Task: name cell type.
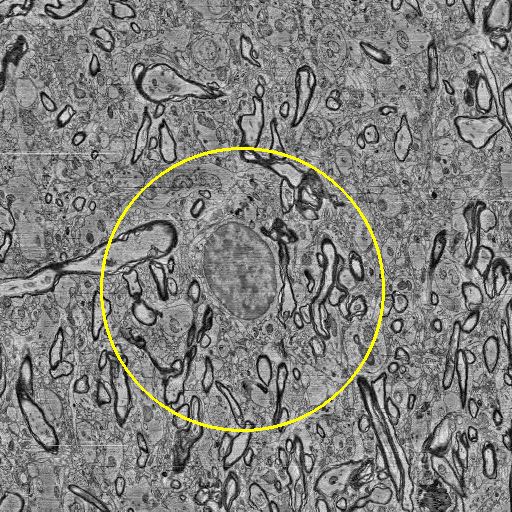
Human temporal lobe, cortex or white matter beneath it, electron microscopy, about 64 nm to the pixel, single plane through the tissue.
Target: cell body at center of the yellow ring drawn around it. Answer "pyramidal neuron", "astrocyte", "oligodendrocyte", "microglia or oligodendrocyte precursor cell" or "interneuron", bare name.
oligodendrocyte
